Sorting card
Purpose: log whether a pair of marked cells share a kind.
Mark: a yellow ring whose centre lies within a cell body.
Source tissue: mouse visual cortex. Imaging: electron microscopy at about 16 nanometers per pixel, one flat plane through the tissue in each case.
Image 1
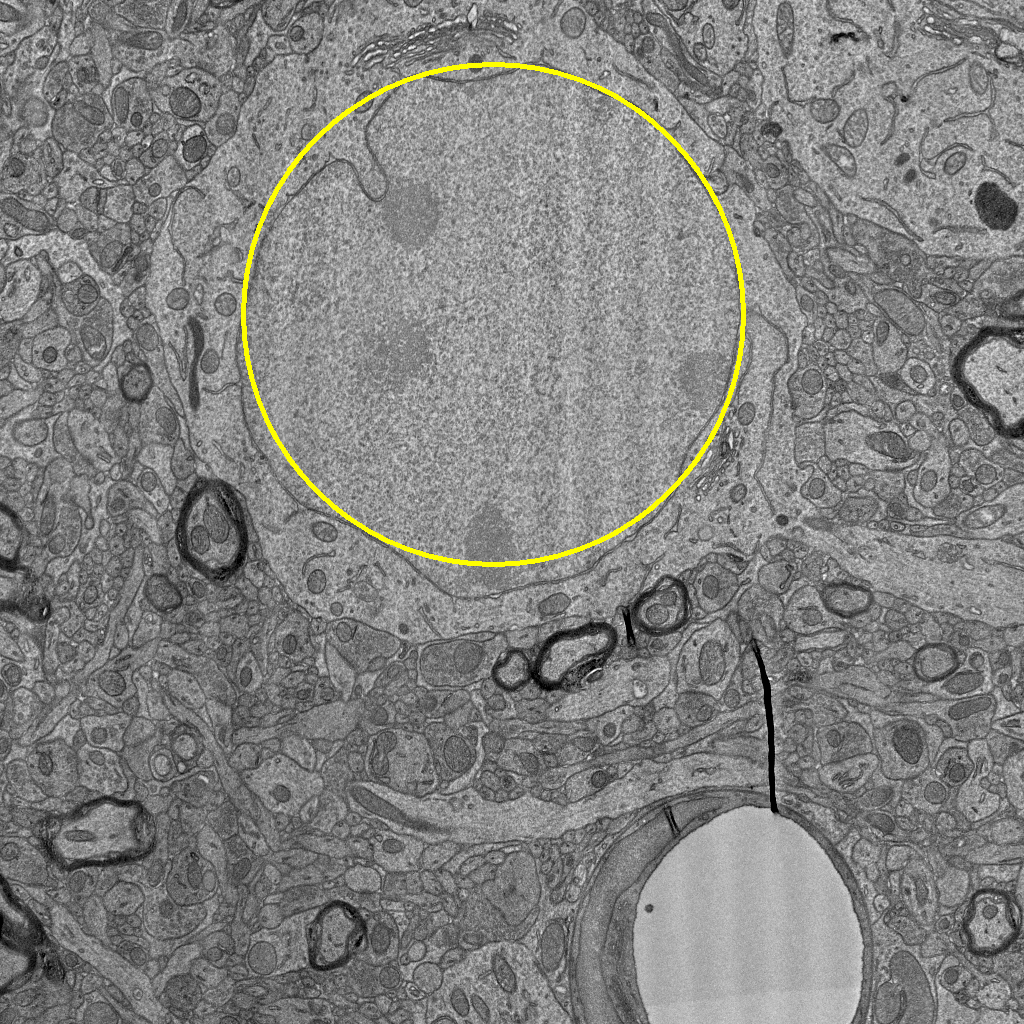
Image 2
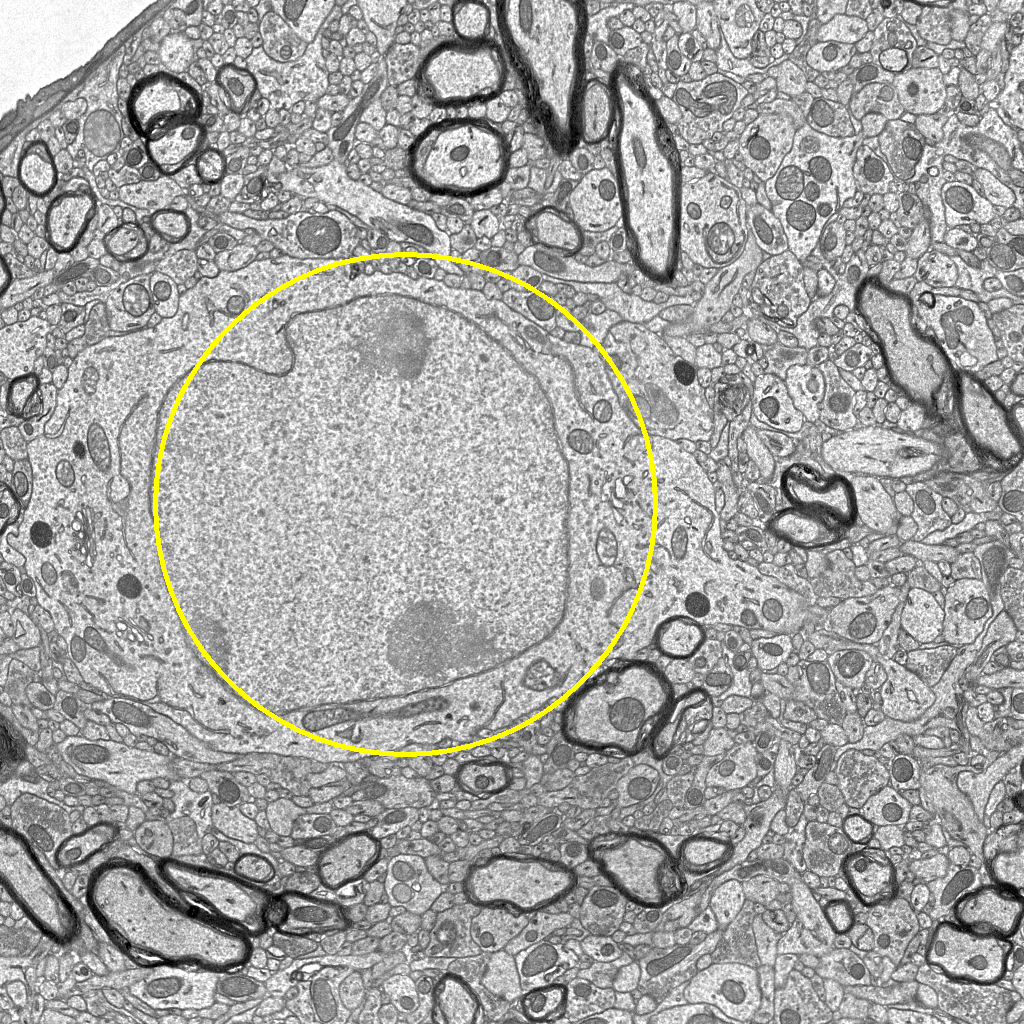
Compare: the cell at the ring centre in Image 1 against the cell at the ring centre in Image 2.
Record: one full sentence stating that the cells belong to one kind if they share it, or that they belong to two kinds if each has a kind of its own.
Across Images 1 and 2, the two cells at the ring centres belong to one kind.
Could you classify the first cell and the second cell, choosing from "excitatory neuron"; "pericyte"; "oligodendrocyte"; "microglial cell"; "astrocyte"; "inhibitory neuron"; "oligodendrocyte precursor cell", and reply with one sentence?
Both pictures show an excitatory neuron at the centre of the ring.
